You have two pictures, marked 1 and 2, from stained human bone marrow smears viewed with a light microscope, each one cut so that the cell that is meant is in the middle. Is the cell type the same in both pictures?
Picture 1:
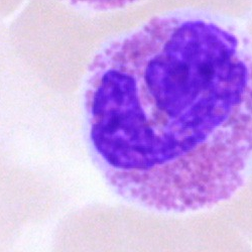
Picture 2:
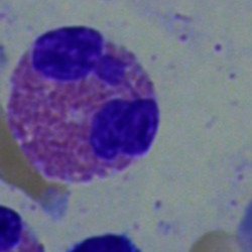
yes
